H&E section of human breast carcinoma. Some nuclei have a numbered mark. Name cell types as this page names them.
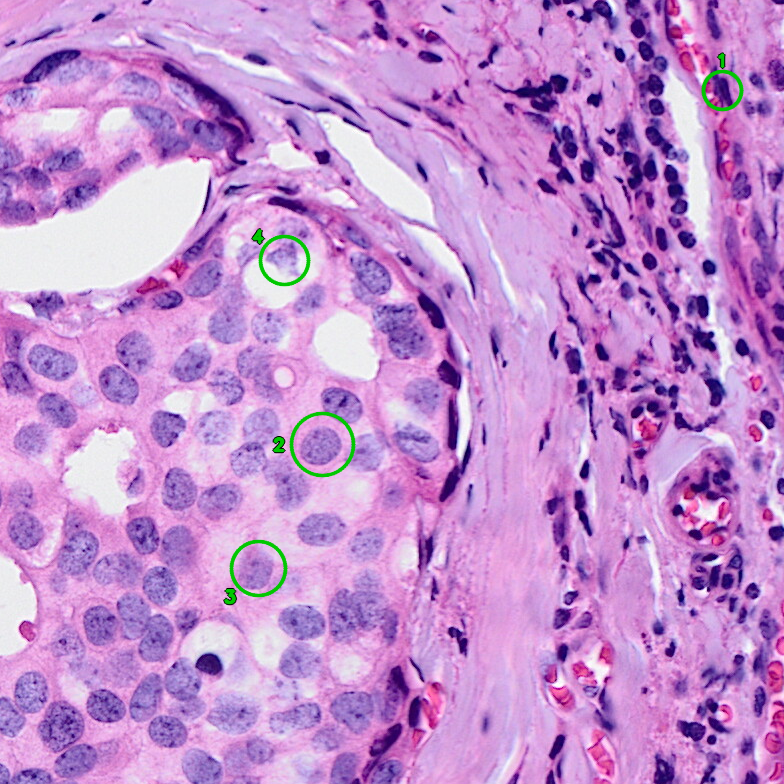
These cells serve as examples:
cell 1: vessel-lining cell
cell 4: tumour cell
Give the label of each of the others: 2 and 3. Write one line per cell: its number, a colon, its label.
2: tumour cell
3: tumour cell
